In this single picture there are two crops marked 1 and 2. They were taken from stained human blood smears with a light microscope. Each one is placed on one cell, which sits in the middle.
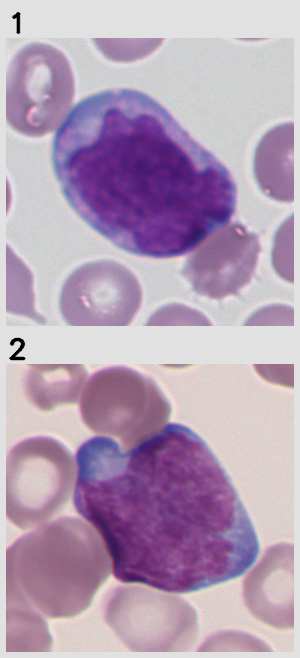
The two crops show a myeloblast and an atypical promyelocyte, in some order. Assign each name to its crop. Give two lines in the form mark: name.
1: atypical promyelocyte
2: myeloblast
